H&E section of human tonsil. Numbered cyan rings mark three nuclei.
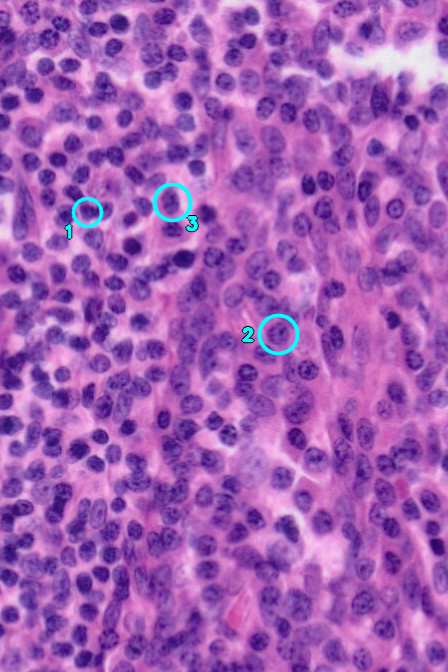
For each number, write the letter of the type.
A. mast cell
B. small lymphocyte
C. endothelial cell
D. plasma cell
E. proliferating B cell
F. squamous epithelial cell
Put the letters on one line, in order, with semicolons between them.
B; D; D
